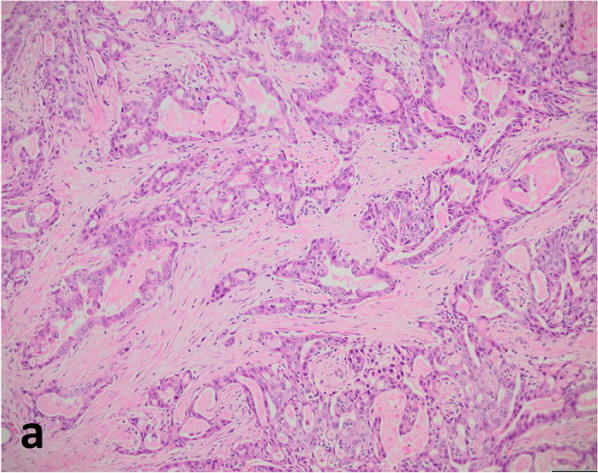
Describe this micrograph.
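Nests and strands of carcinoma cells form small cystic spaces and tubules filled with pale pink secretion, giving a microcystic to reticular pattern. The tumour cells have moderately varied, rounded nuclei and pink cytoplasm, and they are separated by broad bands of fibrous stroma with spindle-shaped cells.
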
